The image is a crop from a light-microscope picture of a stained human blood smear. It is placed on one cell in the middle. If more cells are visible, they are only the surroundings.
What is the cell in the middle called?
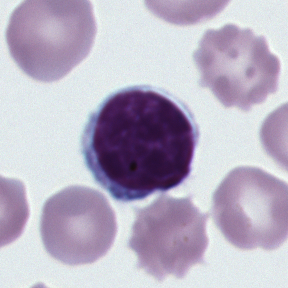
lymphocyte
